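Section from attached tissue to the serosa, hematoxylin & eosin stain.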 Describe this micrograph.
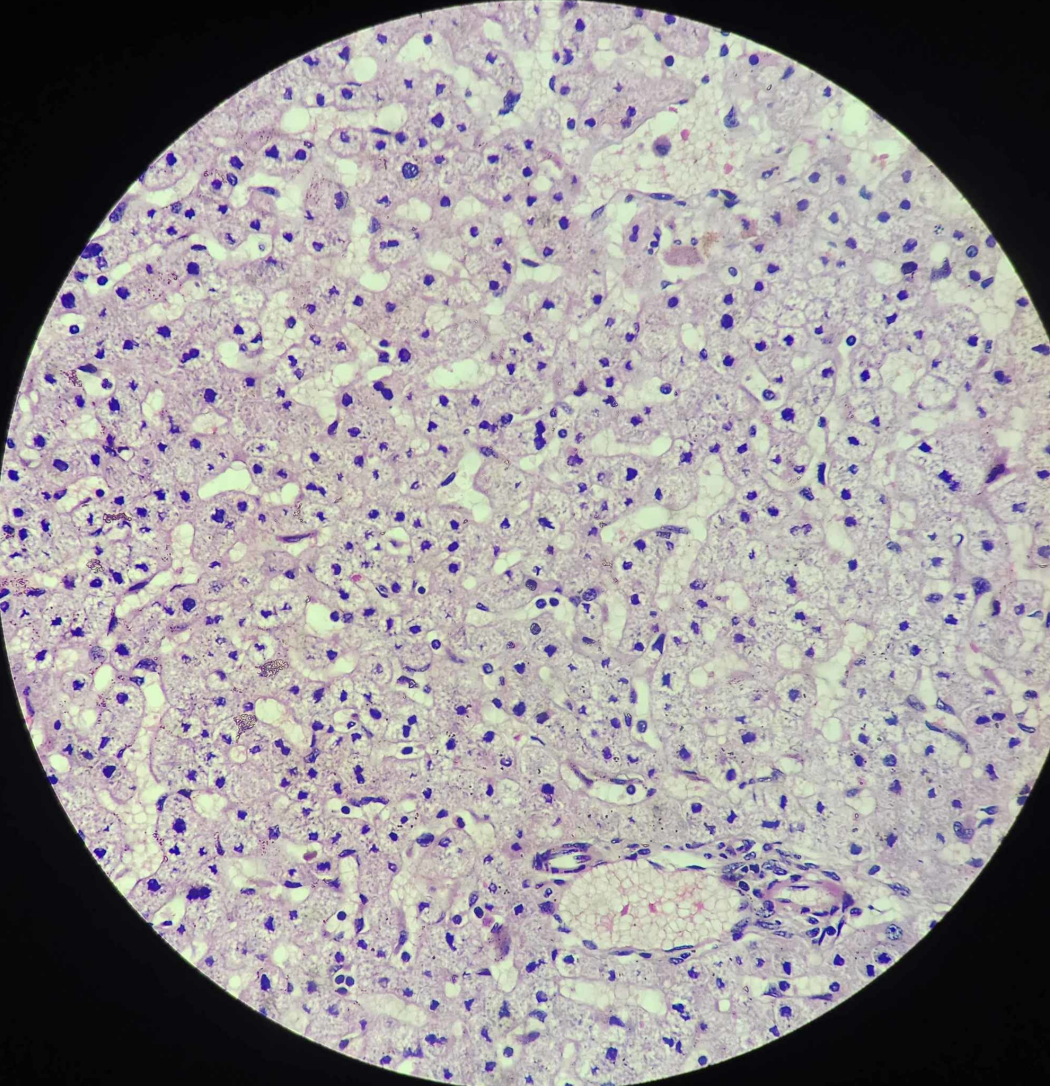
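Hepatic tissue made of hepatocytes arranged in branching cords, separated by pale, clear channels. Near the lower right, a small vessel is surrounded by a little connective tissue with elongated nuclei.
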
